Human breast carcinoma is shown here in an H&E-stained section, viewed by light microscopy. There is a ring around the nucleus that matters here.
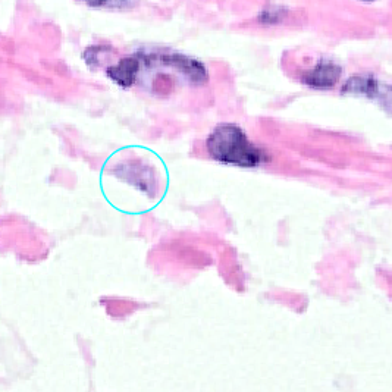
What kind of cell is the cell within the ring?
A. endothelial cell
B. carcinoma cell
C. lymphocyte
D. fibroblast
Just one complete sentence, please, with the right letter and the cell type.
As stated in option D, the cell within the ring is a fibroblast.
